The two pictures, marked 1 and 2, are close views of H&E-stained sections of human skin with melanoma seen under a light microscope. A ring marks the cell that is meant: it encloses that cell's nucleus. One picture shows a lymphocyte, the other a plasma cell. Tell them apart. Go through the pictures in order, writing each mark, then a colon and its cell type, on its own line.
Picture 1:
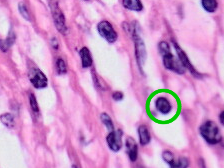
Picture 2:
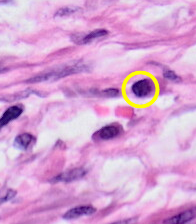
1: lymphocyte
2: plasma cell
